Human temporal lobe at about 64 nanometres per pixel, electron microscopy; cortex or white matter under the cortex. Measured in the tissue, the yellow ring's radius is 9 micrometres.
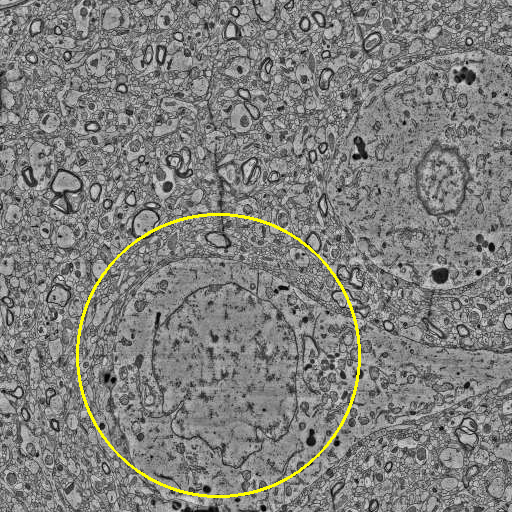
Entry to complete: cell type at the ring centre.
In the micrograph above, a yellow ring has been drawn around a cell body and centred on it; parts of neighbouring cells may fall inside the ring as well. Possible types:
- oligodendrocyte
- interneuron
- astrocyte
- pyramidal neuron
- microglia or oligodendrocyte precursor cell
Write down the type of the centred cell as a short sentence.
The ring is centred on a pyramidal neuron.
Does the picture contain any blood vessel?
No, none is visible.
